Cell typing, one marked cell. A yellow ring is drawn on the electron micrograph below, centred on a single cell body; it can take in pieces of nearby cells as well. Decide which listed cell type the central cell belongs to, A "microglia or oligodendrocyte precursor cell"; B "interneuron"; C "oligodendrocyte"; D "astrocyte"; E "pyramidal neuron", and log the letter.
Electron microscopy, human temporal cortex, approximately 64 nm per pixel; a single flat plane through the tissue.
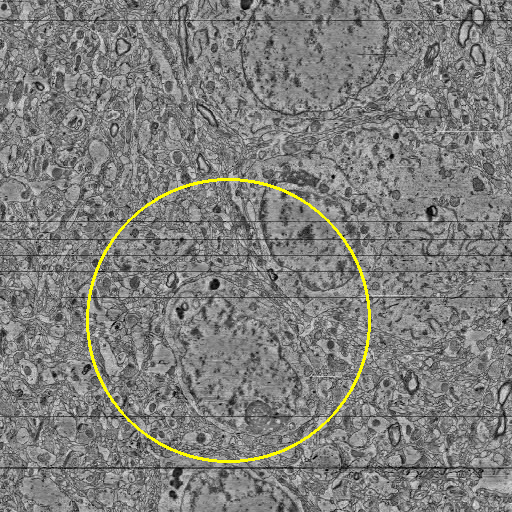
B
